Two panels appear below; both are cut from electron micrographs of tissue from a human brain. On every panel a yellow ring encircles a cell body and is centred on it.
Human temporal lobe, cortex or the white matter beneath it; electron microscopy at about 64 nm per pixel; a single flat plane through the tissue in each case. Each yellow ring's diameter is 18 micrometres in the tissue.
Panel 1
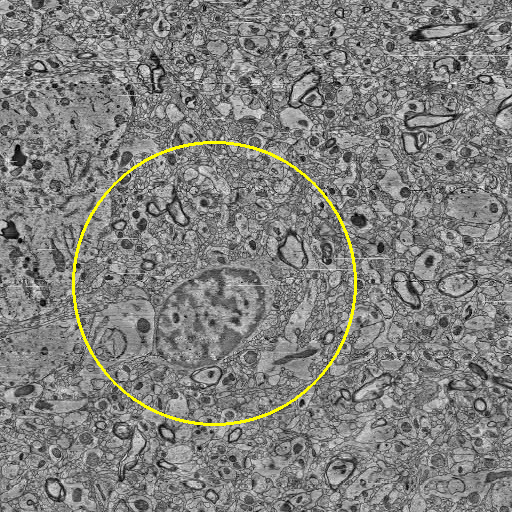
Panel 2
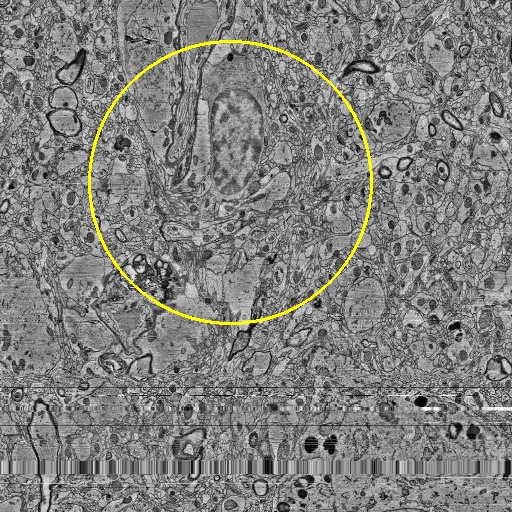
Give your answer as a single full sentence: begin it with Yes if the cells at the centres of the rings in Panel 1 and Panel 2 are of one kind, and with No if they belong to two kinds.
Yes, the cells in the middle of the rings in Panels 1 and 2 are of one kind.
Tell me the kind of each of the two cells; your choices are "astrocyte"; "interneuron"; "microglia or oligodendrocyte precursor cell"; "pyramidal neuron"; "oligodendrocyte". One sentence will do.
The first and the second cell are each an oligodendrocyte.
